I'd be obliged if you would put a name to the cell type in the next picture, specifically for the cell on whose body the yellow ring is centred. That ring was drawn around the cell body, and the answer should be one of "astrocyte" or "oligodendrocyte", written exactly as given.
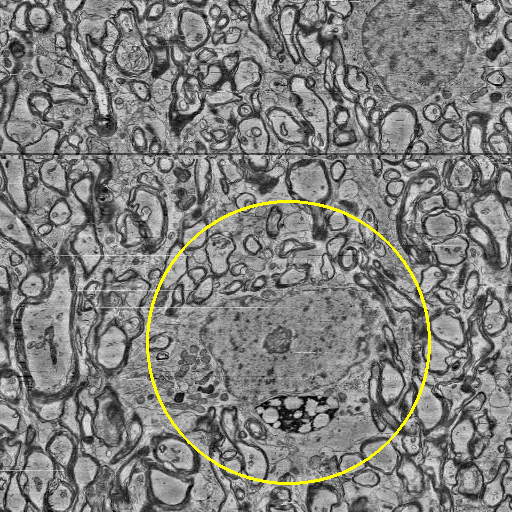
astrocyte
